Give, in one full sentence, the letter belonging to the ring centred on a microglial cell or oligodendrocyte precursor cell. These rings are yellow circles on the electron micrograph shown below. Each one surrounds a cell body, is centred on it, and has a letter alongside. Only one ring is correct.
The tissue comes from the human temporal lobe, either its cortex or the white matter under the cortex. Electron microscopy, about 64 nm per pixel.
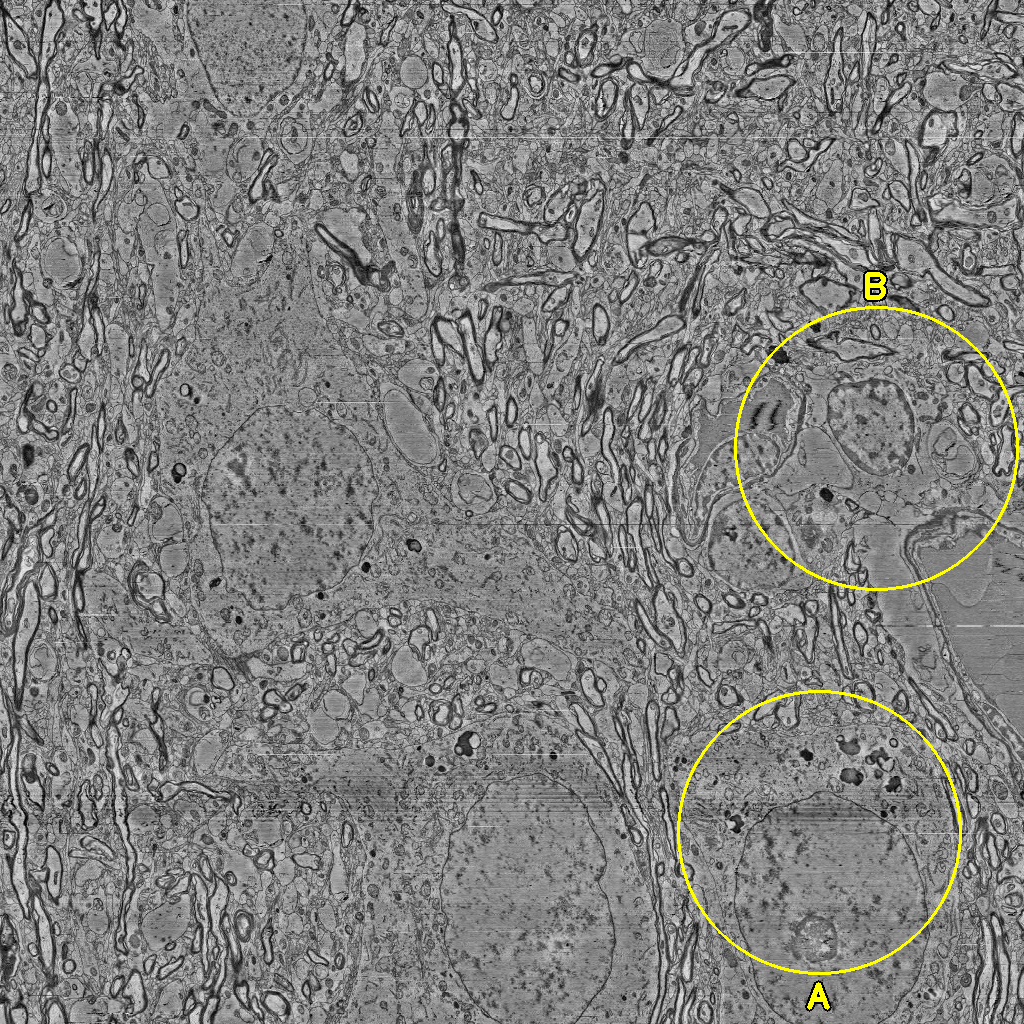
My answer is B, the ring centred on the cell asked for.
